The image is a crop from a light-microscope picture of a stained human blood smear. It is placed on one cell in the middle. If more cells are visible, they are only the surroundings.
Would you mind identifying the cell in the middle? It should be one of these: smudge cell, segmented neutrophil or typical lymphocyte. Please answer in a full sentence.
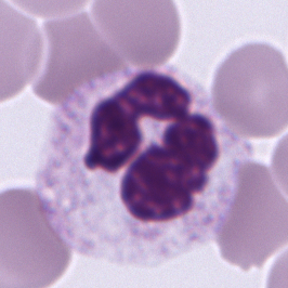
The cell sitting right in the middle is a segmented neutrophil.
